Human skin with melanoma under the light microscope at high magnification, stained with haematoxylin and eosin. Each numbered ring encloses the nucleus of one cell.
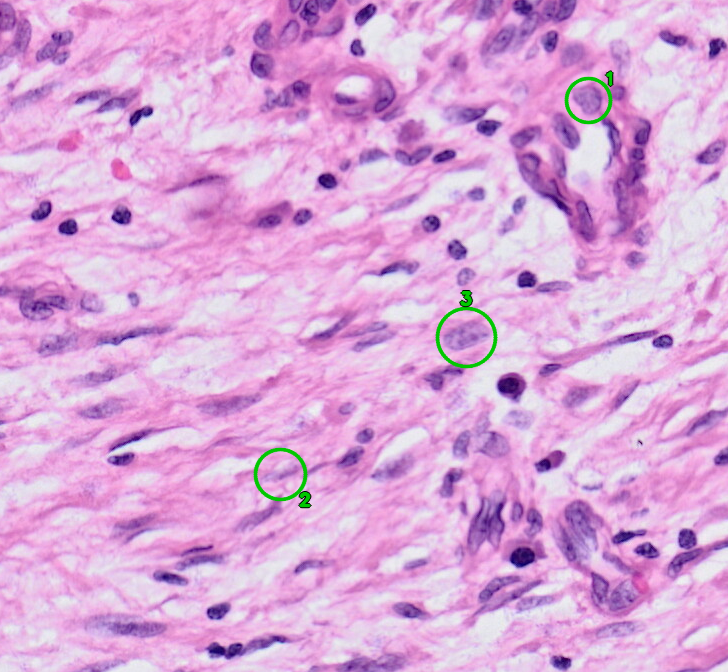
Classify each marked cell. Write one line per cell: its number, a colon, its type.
1: endothelial cell
2: fibroblast or myofibroblast
3: fibroblast or myofibroblast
